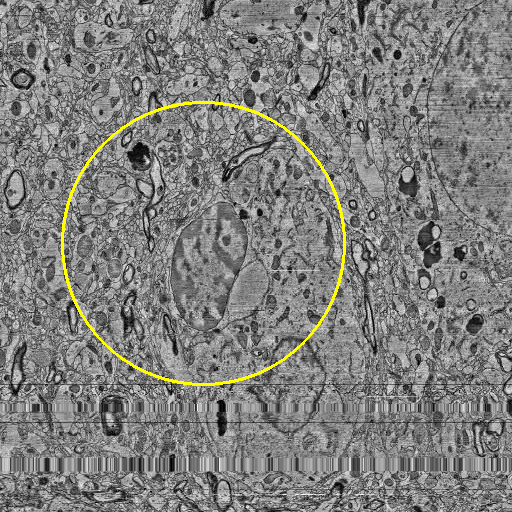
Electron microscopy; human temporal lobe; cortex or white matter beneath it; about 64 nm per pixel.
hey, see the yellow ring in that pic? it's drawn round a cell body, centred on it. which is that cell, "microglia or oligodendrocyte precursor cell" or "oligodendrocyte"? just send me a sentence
The cell in the ring is a microglial cell or oligodendrocyte precursor cell.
